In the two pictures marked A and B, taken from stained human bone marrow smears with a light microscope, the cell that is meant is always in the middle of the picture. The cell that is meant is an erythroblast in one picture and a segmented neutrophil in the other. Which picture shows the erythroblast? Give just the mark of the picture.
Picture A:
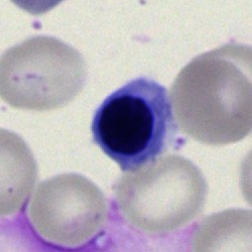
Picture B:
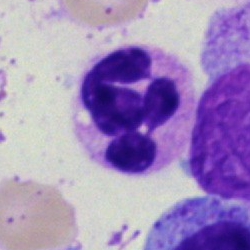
A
